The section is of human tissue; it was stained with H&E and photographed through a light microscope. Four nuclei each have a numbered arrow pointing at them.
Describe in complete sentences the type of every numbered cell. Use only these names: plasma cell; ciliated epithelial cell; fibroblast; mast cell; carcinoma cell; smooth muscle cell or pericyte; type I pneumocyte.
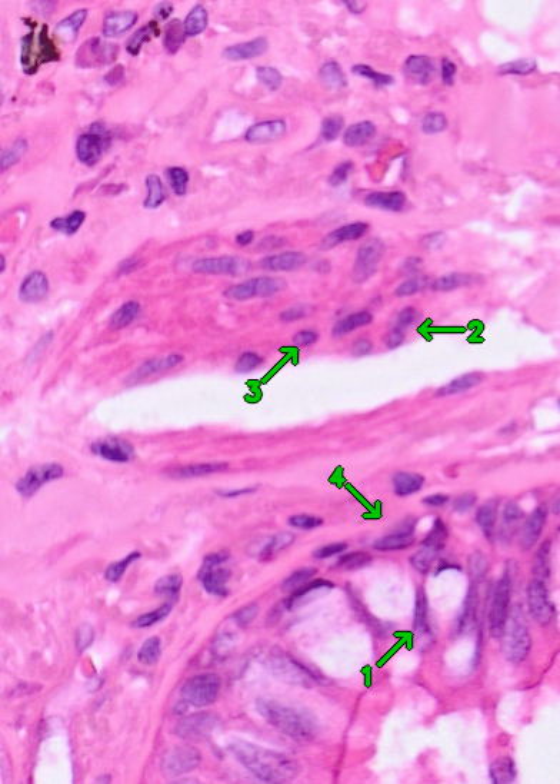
Cell 1 is a ciliated epithelial cell, cell 2 is a smooth muscle cell or pericyte, cell 3 is a smooth muscle cell or pericyte and cell 4 is a ciliated epithelial cell.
